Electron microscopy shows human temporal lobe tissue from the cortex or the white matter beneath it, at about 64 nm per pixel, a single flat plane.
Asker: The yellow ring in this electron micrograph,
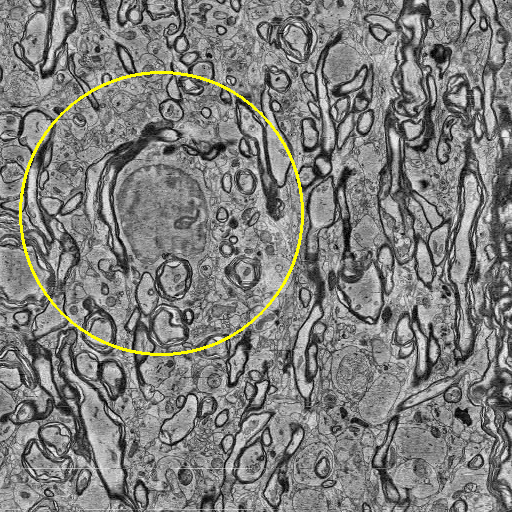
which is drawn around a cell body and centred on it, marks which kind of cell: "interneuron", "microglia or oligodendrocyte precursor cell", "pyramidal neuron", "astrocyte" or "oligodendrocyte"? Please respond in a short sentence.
The marked cell is an oligodendrocyte.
